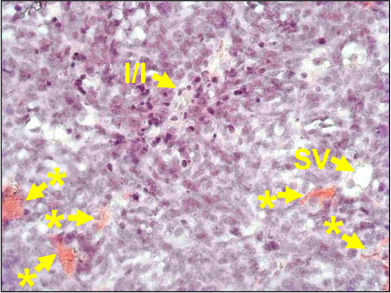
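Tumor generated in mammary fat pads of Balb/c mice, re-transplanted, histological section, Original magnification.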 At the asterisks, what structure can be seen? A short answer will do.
Blood vessels.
